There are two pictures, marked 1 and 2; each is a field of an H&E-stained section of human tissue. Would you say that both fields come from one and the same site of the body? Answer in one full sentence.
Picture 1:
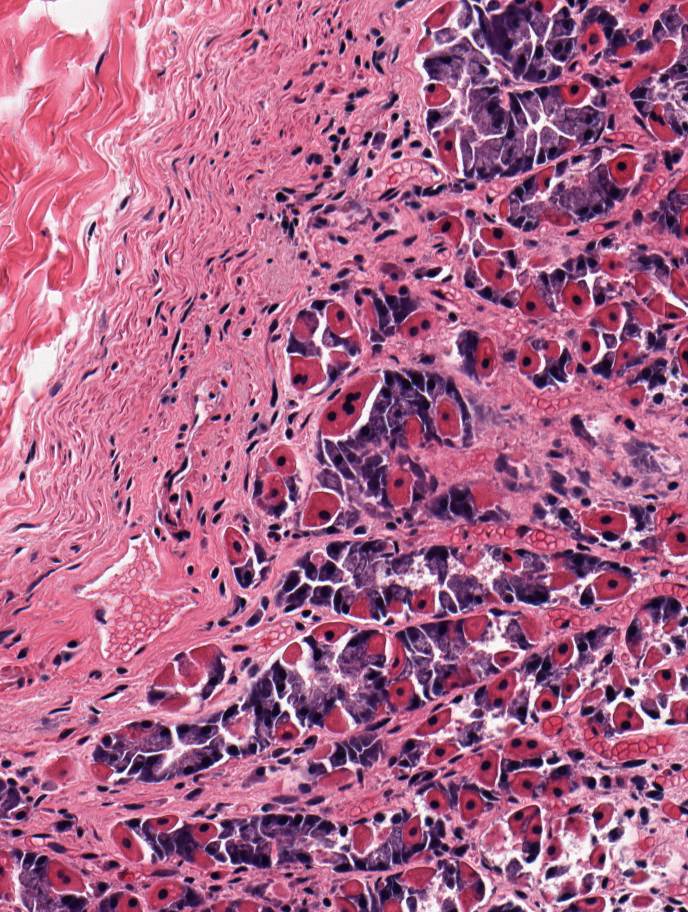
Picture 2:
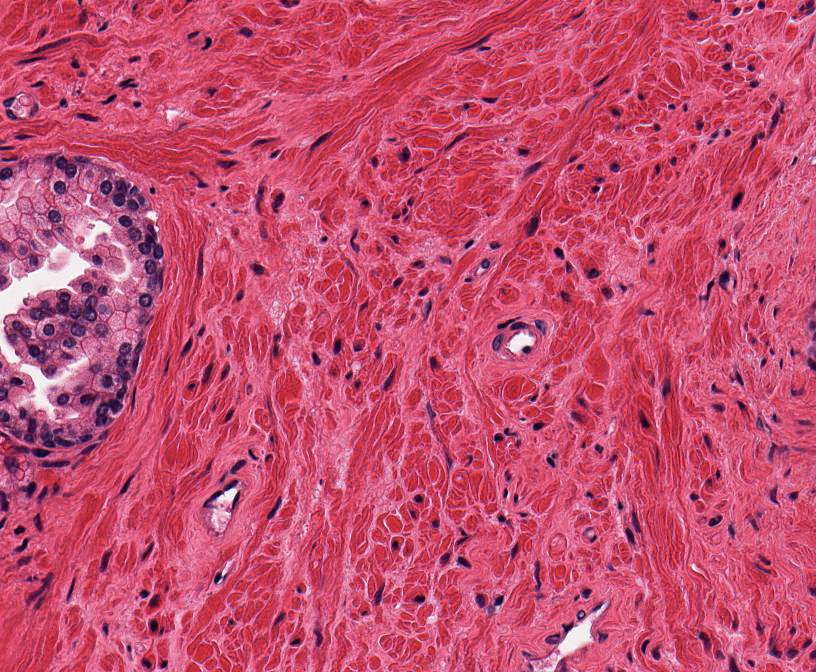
No: picture 1 comes from the stomach, but picture 2 comes from the prostate.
